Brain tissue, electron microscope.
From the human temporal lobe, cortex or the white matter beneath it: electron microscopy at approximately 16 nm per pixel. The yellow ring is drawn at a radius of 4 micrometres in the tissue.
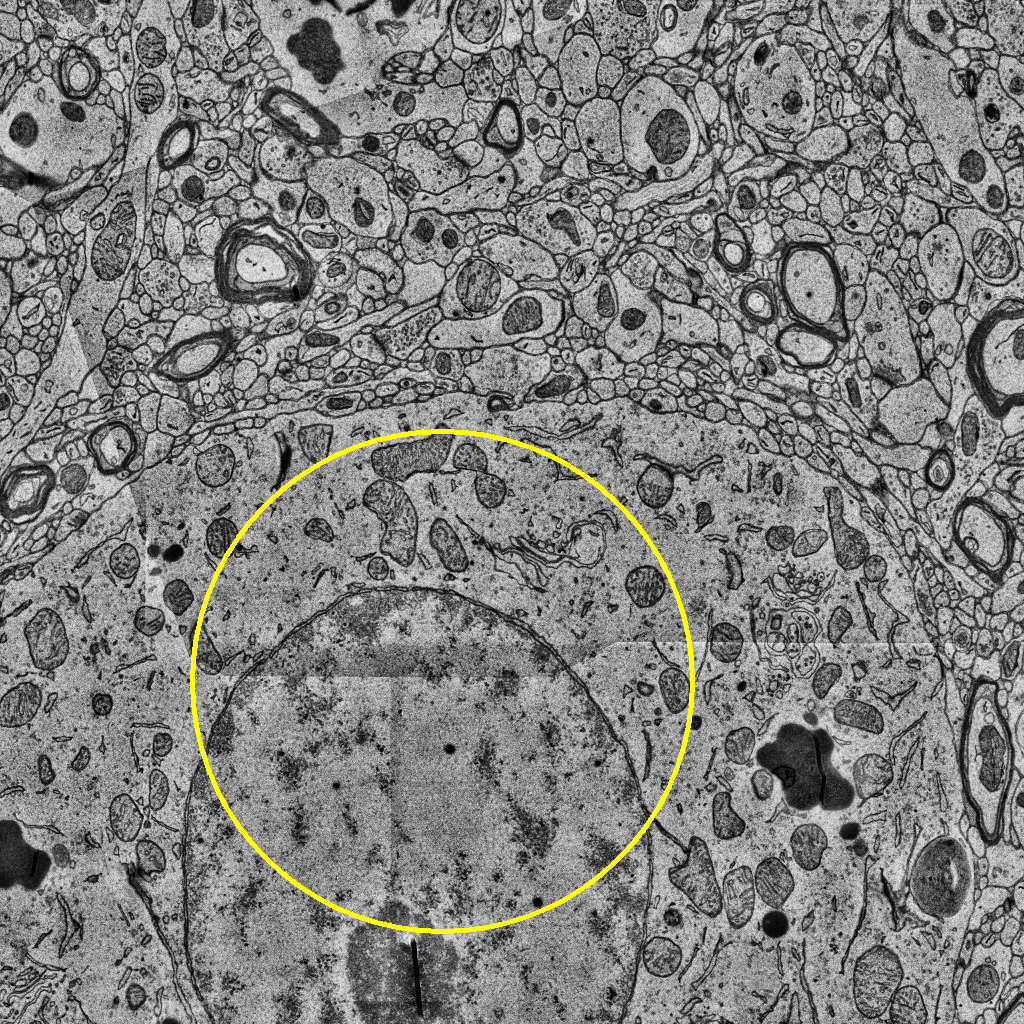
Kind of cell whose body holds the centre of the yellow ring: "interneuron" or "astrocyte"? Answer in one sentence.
The ring's centre falls on an interneuron.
